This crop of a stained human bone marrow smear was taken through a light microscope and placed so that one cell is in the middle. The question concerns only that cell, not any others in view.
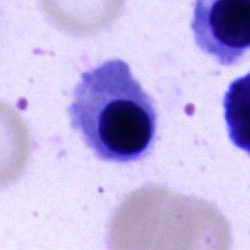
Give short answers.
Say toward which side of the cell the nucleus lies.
lower right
